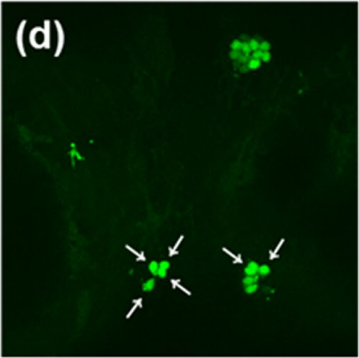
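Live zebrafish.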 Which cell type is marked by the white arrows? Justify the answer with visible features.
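Small round cells packed in rosette-like clusters. The arrowed cells are brightly labelled against a dark background.
Hair cells.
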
